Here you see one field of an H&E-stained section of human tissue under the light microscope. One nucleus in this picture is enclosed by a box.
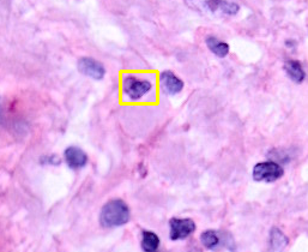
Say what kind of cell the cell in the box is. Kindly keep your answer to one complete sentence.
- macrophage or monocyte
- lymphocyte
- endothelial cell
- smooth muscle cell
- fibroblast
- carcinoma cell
As far as its identity is concerned, the cell in the box is a lymphocyte.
